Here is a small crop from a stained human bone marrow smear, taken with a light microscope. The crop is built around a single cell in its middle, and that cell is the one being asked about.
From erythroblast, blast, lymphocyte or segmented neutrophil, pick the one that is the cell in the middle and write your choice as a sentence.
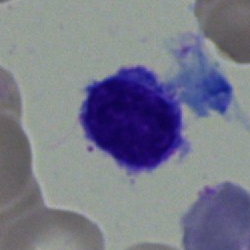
This particular crop is centered on a lymphocyte.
